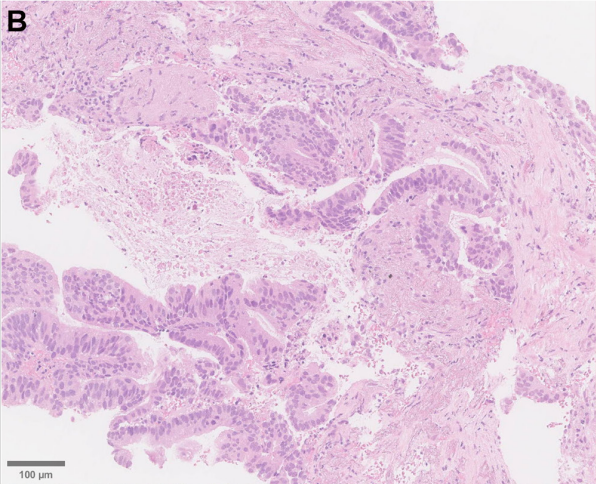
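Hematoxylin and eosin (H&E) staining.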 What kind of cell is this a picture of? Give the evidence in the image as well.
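Epithelial lining cells have enlarged, crowded, elongated nuclei. Nuclei are stratified and hyperchromatic compared with stromal cells.
Hence: atypical epithelial cells.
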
